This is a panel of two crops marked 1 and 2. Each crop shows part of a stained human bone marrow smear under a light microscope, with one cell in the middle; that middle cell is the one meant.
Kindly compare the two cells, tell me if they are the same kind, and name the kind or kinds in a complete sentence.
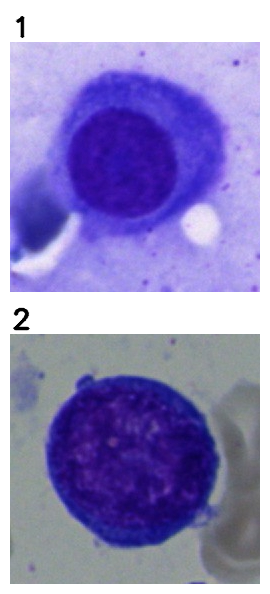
No, the cells are a plasma cell in crop 1 and a promyelocyte in crop 2.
